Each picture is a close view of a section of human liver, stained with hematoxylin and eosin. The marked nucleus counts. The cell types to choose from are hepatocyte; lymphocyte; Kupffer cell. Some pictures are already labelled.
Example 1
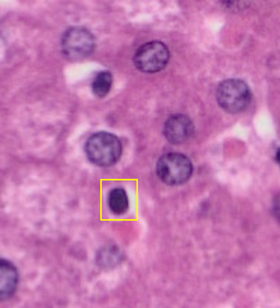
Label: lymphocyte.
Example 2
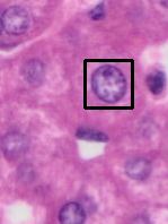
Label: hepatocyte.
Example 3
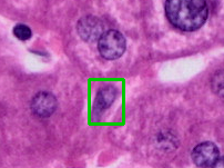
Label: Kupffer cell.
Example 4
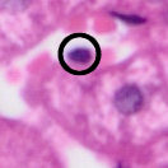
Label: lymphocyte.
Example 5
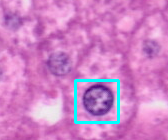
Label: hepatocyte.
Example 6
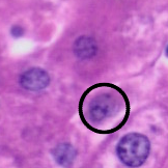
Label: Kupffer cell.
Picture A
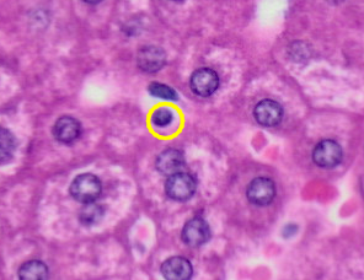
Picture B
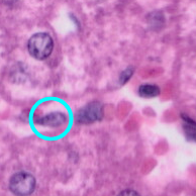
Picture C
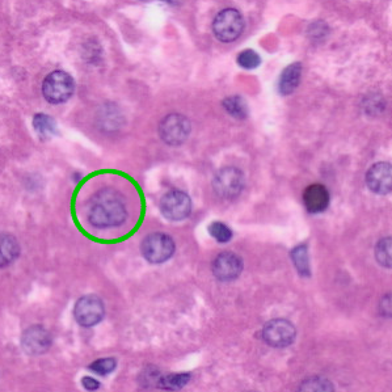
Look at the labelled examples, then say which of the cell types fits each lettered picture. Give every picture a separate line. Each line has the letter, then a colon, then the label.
A: lymphocyte.
B: Kupffer cell.
C: hepatocyte.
